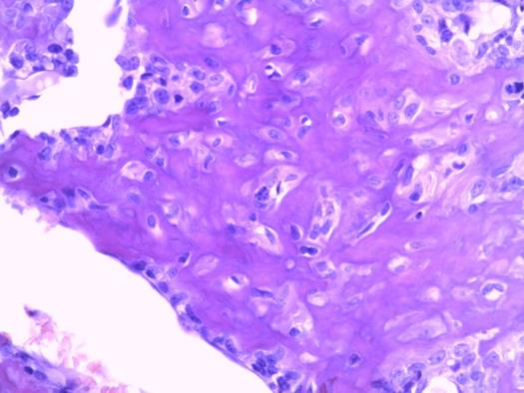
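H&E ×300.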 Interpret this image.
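This is an island of hyaline cartilage whose chondrocytes are scattered irregularly and vary markedly in size and shape. The chondrocytes lie in clear or pale spaces within the matrix. Their dark purple nuclei range from round to elongated and angular, and some spaces contain two nuclei. Many cells have a pale, clear-looking cytoplasm. Along the upper edges of the field, smaller cells with dark nuclei are crowded outside the cartilage matrix.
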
